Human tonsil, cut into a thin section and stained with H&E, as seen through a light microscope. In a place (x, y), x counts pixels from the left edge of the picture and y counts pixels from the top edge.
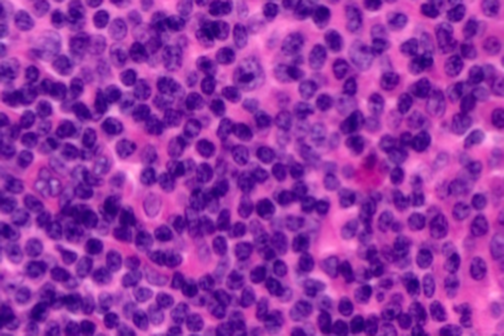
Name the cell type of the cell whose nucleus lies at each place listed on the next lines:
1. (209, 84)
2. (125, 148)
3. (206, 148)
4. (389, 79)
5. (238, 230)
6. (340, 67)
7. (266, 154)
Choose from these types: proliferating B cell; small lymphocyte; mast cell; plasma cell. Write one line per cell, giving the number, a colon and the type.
1: small lymphocyte
2: plasma cell
3: small lymphocyte
4: plasma cell
5: small lymphocyte
6: plasma cell
7: small lymphocyte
